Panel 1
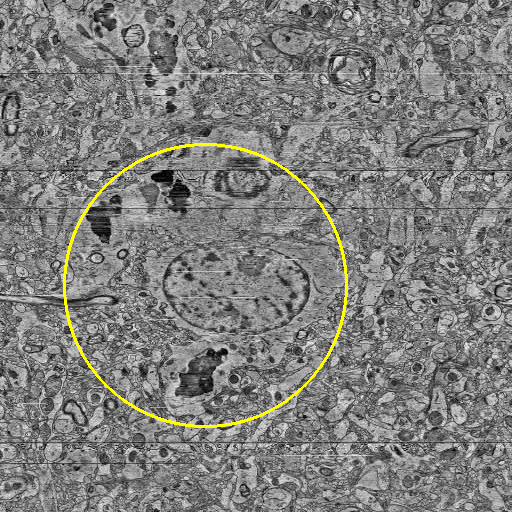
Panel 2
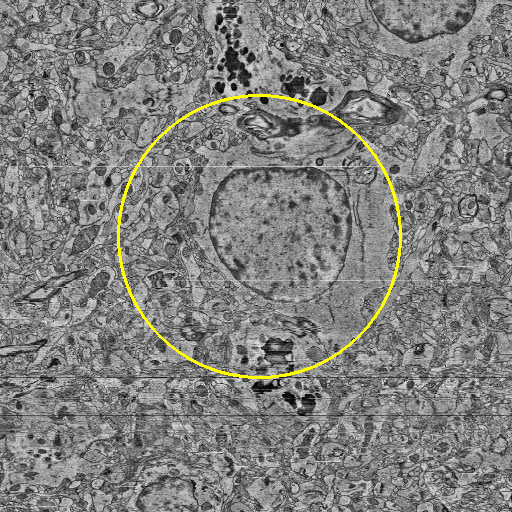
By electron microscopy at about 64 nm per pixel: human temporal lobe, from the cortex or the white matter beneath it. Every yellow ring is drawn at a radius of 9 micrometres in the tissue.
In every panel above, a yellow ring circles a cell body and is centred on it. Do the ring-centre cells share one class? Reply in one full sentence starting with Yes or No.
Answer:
Yes, the two cells at the ring centres in the panels belong to one class.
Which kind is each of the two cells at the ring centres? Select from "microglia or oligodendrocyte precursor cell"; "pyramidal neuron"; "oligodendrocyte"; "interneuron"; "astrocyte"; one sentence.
Both cells are the same kind, each one being an astrocyte.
